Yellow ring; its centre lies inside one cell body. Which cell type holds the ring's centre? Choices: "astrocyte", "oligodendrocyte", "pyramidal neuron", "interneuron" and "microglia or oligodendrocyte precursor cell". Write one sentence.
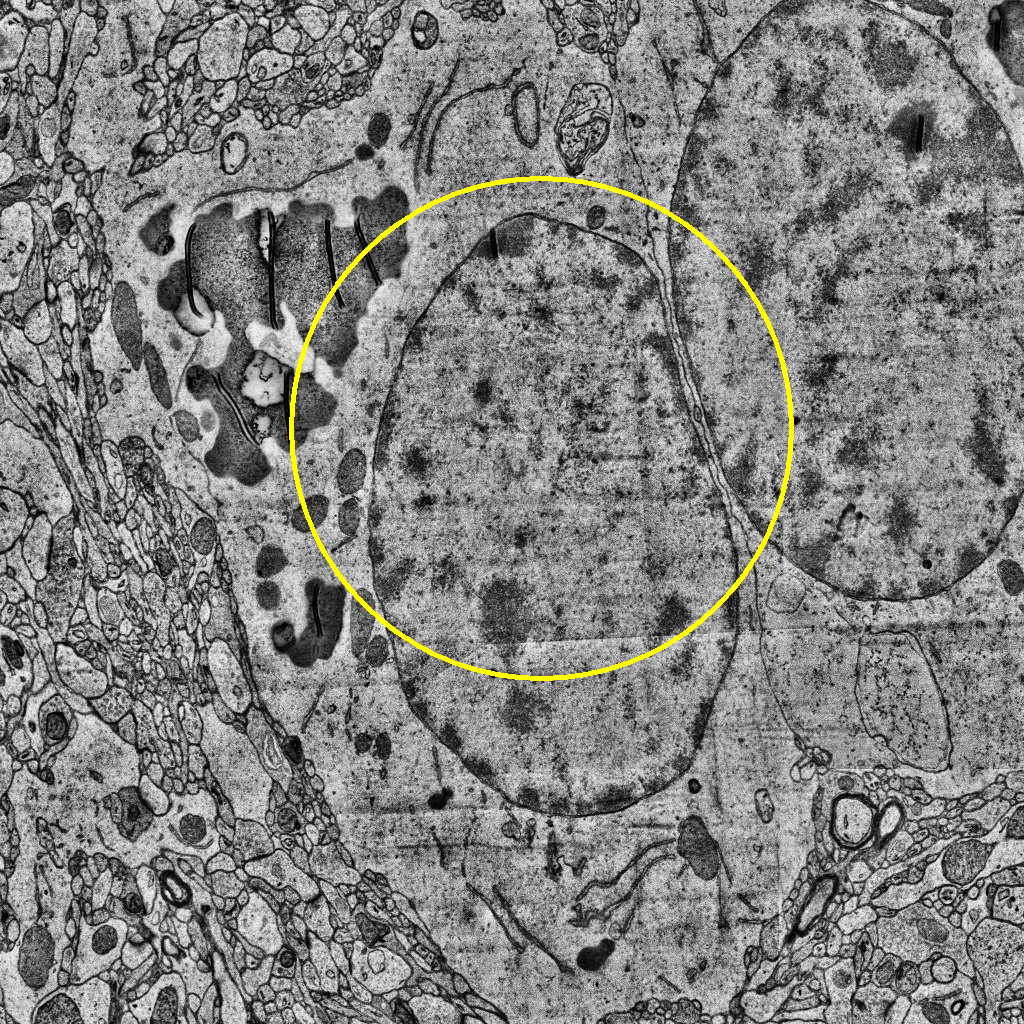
At the centre of the ring sits an astrocyte.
